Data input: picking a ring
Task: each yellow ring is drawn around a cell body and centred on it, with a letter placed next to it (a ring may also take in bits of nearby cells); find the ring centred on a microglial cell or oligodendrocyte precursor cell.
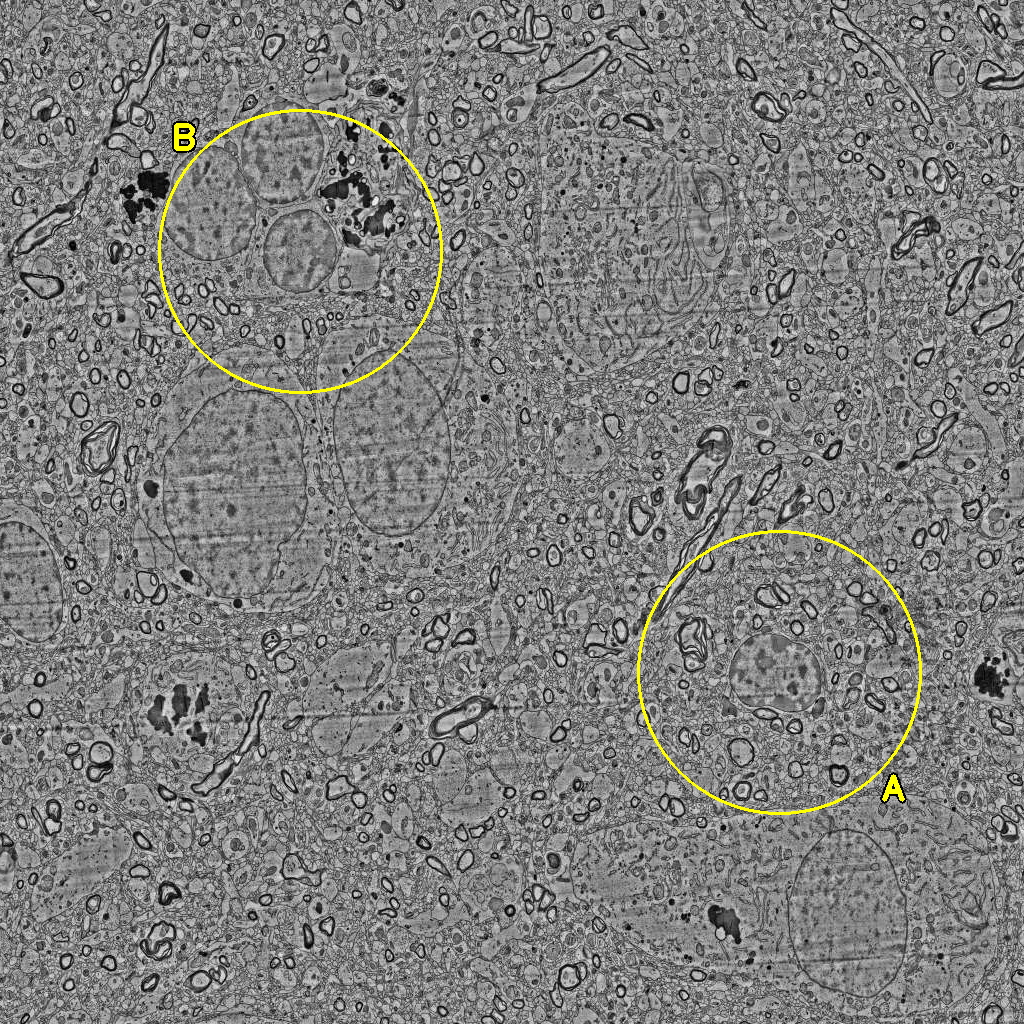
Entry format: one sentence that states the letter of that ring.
In the picture, the cell asked for sits at the centre of ring A.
